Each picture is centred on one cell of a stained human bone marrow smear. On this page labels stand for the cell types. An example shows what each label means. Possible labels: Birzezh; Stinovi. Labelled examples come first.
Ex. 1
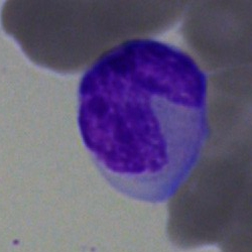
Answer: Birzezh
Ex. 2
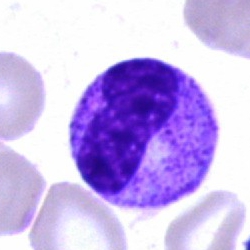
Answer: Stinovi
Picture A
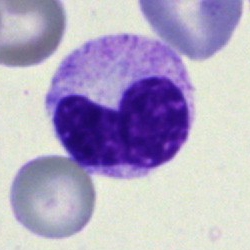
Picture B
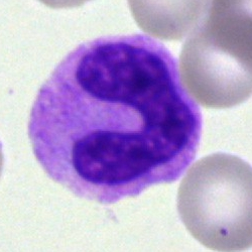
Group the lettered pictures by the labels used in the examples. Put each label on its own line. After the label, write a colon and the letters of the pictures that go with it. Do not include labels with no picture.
Stinovi: A, B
